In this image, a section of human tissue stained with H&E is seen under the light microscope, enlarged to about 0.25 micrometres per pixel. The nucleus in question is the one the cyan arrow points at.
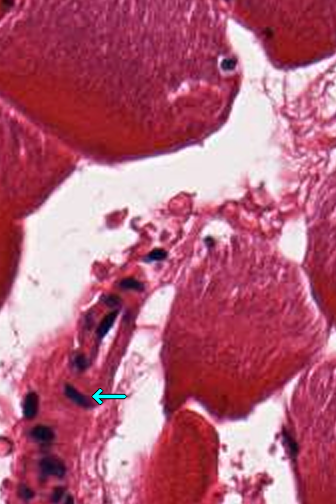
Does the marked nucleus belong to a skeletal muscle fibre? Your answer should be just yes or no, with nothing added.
no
